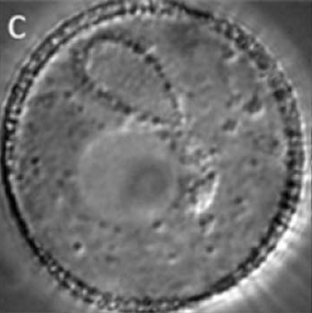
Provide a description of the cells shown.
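A pollen grain is seen in which the generative cell is partially elongated. The grain is round and bounded by a thick wall with a beaded outer rim. In the upper part the generative cell, outlined by a dotted boundary, is drawn out from a rounded head into a narrower tapering extension. Below and to the left lies a larger, paler round body. The cytoplasm around them is finely granular.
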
